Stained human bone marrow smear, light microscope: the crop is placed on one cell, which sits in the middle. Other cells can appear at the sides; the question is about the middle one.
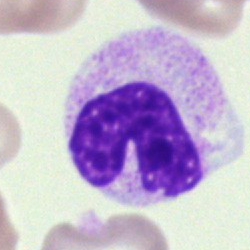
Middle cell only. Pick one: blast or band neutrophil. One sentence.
To answer, the cell in the center of the crop is a band neutrophil.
